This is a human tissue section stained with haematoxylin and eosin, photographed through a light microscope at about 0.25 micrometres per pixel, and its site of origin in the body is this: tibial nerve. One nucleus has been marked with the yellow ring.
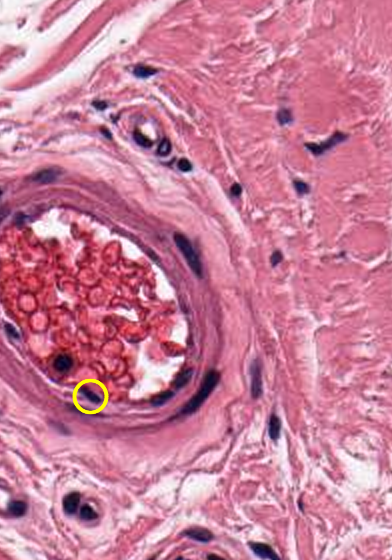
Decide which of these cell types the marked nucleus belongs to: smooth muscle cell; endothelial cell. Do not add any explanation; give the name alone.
endothelial cell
